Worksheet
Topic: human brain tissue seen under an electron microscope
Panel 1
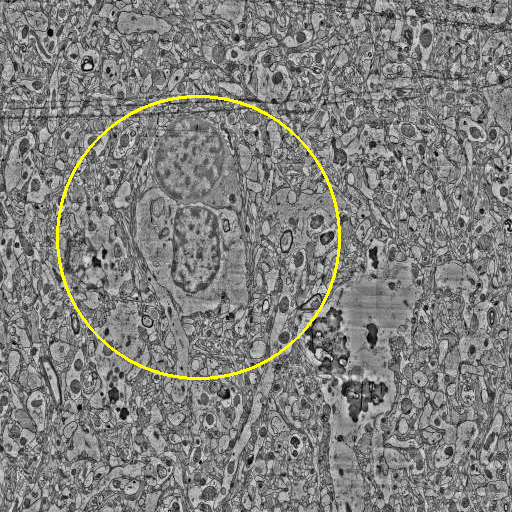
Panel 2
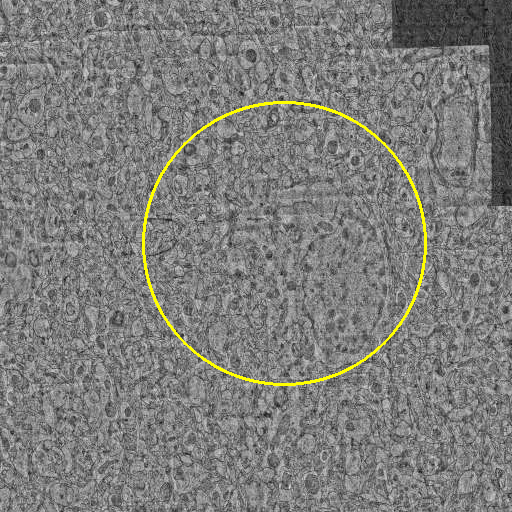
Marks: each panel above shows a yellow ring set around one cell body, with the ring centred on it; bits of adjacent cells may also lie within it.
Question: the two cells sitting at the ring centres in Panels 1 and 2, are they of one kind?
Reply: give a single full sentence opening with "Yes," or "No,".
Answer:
Yes, the two ring-centre cells in Panel 1 and Panel 2 are of one kind.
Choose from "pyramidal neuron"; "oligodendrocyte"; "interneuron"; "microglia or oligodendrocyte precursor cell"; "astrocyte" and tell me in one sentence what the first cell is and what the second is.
Each of the two rings surrounds an astrocyte.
